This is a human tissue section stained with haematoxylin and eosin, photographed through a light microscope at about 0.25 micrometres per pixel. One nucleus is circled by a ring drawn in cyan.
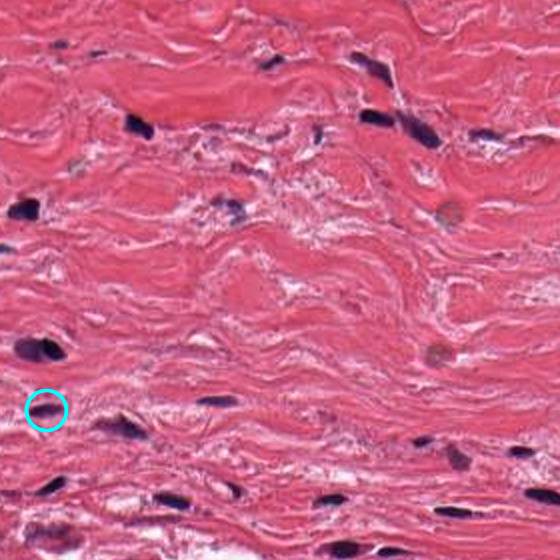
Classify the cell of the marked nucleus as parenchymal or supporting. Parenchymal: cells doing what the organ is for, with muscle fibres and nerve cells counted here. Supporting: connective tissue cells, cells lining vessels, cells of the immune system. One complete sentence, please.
The marked nucleus belongs to a cell, and that cell is a supporting cell.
